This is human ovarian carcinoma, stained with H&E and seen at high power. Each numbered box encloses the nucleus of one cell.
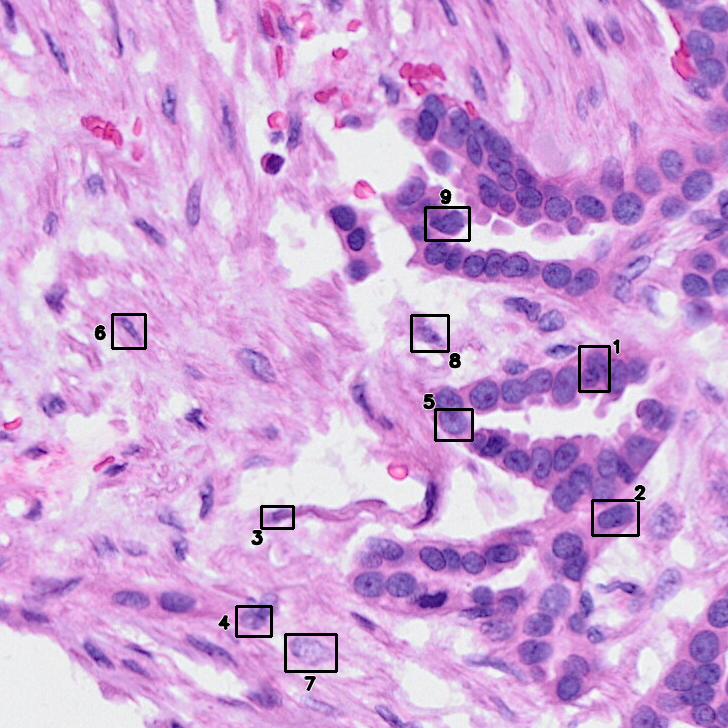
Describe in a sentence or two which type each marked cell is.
Cells 1, 2, 5 and 9 are carcinoma cells. Cells 3, 4, 6, 7 and 8 are fibroblasts.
